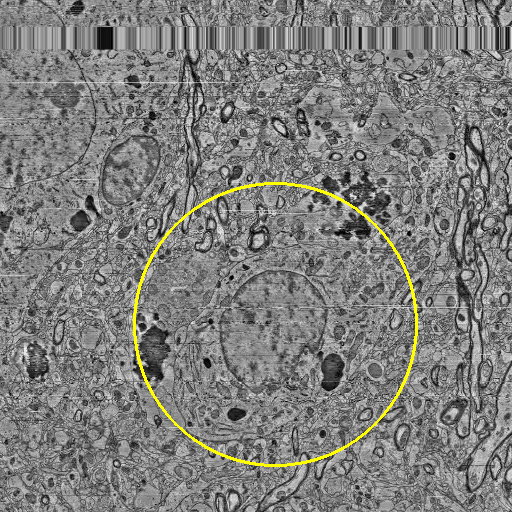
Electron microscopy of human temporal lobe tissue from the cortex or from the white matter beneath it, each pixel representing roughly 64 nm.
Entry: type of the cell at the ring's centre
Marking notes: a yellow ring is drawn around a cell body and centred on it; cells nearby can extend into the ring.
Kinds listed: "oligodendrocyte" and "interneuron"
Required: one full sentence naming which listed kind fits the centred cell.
My entry names an interneuron as the cell whose body the yellow ring centres on.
